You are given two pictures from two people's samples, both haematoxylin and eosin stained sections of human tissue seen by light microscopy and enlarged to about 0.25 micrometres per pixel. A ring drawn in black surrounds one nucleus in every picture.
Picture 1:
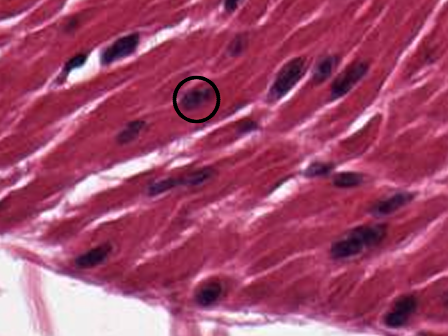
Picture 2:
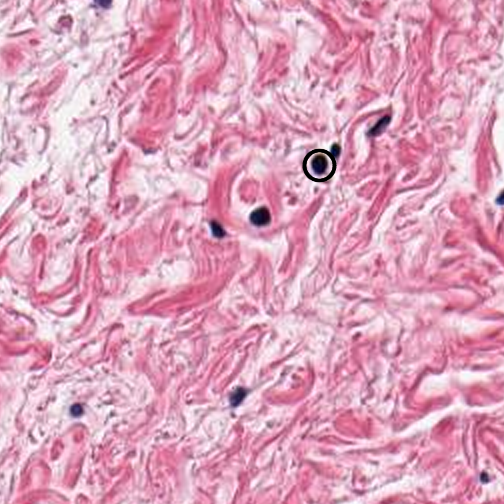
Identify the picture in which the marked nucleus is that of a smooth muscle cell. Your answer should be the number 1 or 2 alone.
1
